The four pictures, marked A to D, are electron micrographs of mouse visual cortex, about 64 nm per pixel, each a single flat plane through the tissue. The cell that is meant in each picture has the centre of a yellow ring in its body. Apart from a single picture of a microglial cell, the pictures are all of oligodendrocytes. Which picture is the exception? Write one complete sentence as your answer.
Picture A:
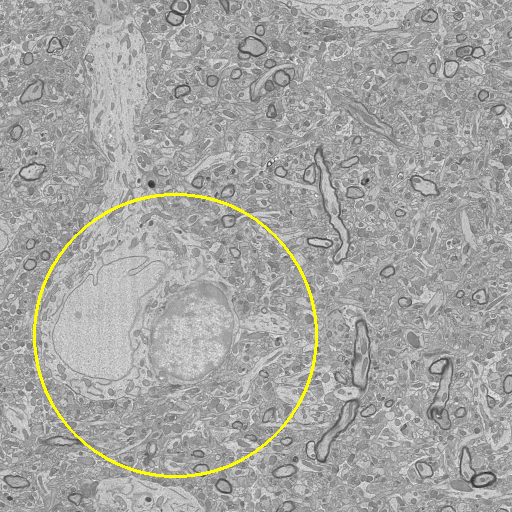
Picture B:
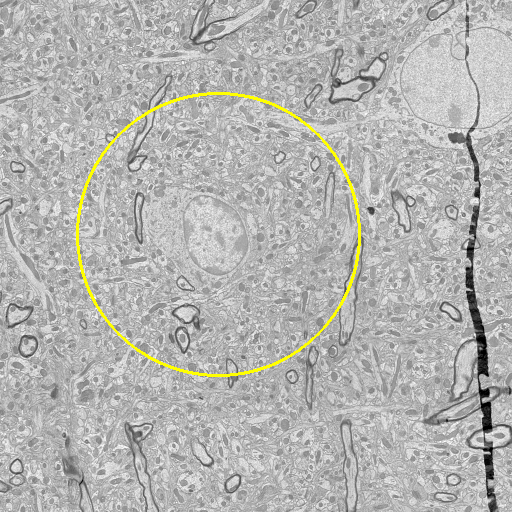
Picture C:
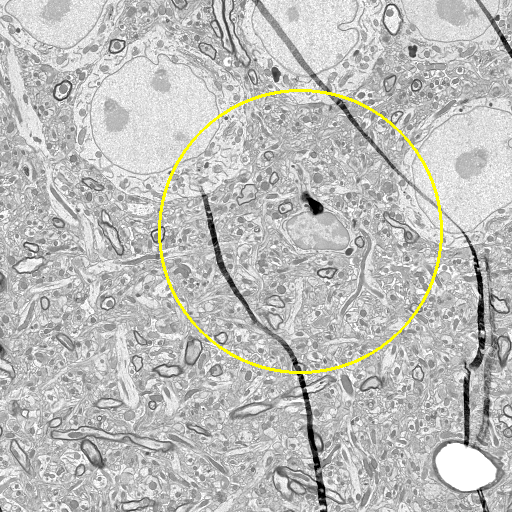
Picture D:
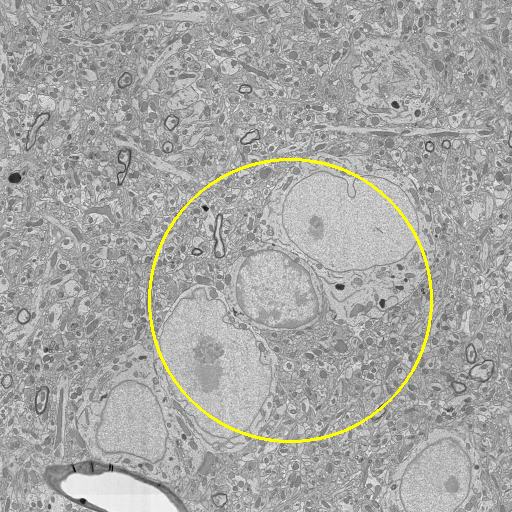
The microglial cell is the one in picture C.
